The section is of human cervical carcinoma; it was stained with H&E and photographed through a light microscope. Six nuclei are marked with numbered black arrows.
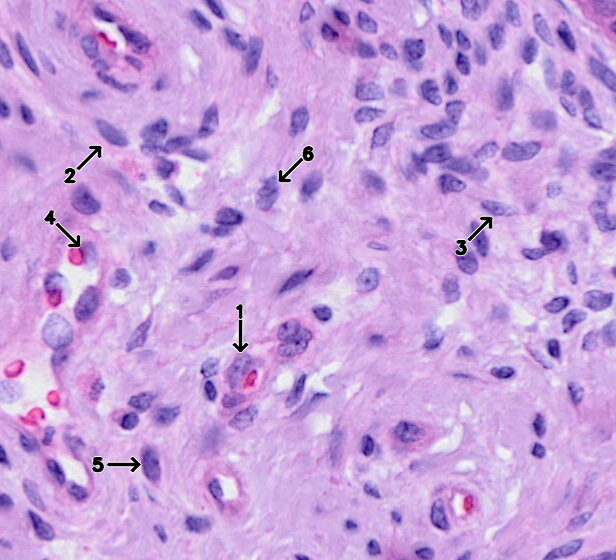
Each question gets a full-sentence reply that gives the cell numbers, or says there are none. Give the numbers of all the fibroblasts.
Marked by the numbers 2, 3, 5 and 6 are cells that are fibroblasts.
